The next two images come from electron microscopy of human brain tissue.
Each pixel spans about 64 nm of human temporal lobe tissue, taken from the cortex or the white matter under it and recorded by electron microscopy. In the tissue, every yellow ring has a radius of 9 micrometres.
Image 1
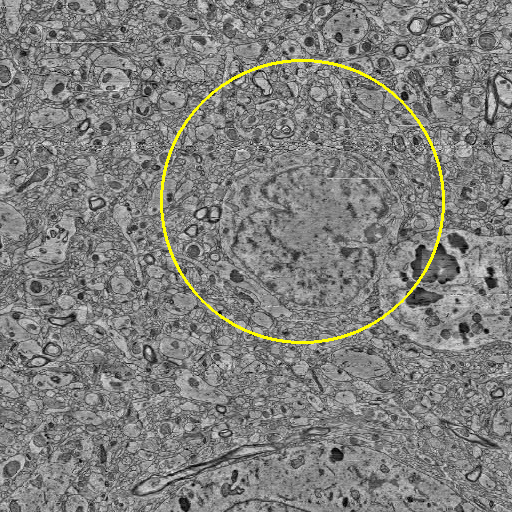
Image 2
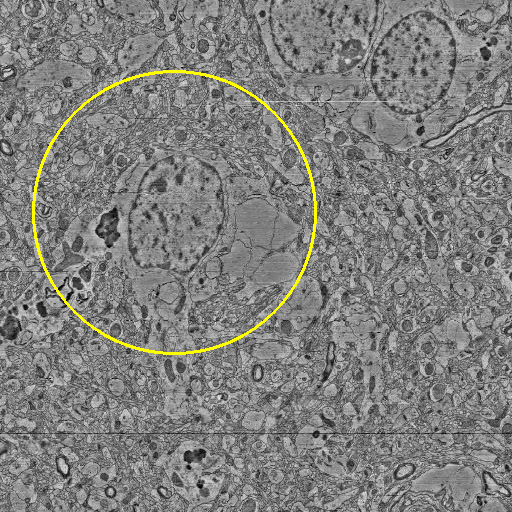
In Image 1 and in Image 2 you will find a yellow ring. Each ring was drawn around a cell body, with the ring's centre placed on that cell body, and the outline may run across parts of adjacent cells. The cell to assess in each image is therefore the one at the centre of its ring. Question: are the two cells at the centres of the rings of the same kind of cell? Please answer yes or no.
no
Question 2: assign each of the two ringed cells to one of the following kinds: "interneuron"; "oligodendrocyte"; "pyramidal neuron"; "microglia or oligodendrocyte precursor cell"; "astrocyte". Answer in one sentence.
The two cells are an interneuron in the first picture and an astrocyte in the second.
